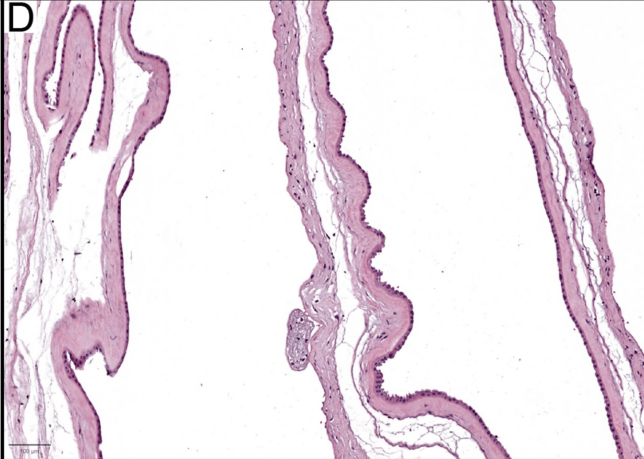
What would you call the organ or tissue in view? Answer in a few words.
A: Amnion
